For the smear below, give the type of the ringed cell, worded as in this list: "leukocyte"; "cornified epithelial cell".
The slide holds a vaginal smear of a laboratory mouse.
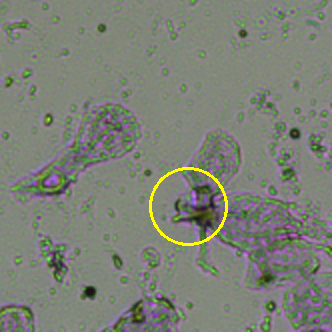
cornified epithelial cell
